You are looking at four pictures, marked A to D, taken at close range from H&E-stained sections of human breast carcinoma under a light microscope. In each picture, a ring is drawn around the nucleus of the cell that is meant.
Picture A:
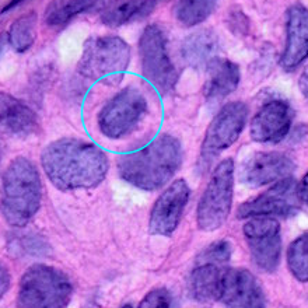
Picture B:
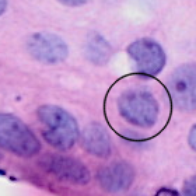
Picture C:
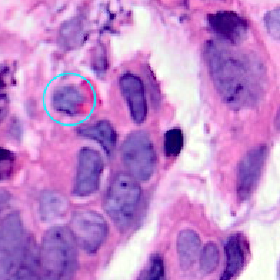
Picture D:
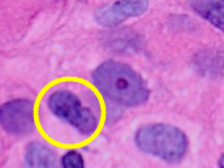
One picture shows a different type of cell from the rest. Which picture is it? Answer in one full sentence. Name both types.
Picture C is the odd one out: it shows an endothelial cell, while the others show carcinoma cells.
